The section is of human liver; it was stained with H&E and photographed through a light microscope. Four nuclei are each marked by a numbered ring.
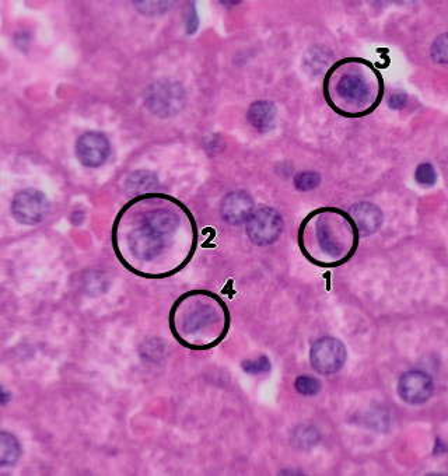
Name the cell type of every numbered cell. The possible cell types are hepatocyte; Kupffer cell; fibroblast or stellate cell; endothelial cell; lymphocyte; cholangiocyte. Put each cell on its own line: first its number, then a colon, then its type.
1: endothelial cell
2: hepatocyte
3: fibroblast or stellate cell
4: endothelial cell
